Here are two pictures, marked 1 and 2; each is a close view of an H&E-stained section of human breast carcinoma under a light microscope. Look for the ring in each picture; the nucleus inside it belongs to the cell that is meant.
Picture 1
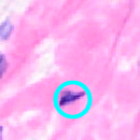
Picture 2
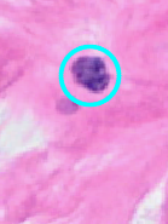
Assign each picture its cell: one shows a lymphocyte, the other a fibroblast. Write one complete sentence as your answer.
It is picture 1 that shows a fibroblast, and picture 2 that shows a lymphocyte.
